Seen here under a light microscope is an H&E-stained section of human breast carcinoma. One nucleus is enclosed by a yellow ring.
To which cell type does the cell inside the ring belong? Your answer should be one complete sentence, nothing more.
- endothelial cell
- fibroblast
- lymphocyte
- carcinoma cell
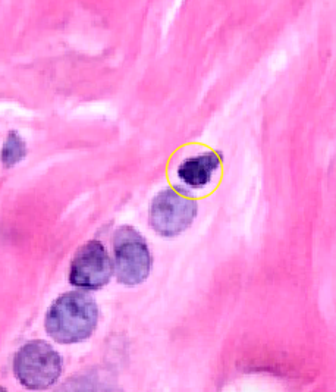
The expected answer is simply that the cell inside the ring is a lymphocyte.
